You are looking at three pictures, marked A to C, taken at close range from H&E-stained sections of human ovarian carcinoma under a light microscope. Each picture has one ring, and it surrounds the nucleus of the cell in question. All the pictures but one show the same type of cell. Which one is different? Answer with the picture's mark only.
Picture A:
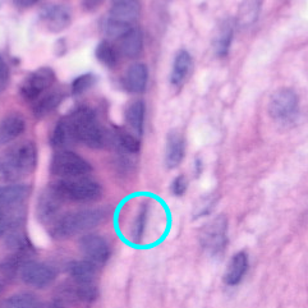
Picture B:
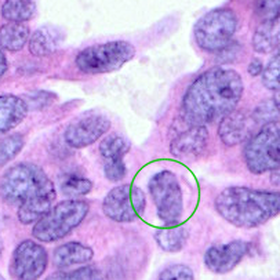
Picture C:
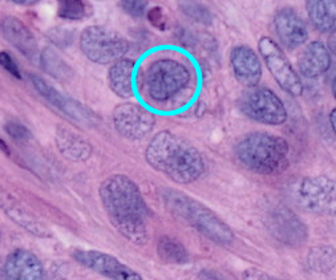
C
